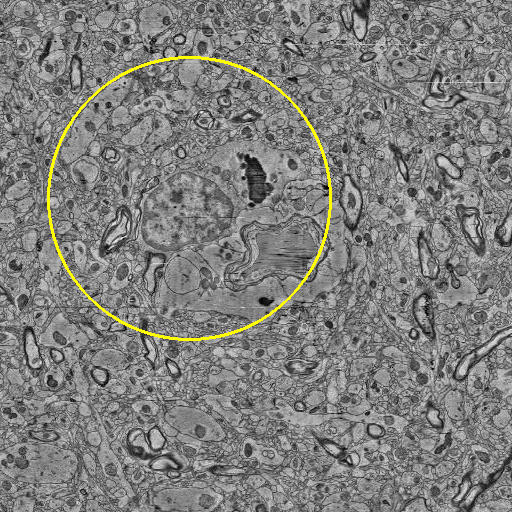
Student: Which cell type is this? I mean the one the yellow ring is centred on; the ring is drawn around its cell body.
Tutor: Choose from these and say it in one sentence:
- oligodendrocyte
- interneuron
The cell the ring is centred on is an oligodendrocyte.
